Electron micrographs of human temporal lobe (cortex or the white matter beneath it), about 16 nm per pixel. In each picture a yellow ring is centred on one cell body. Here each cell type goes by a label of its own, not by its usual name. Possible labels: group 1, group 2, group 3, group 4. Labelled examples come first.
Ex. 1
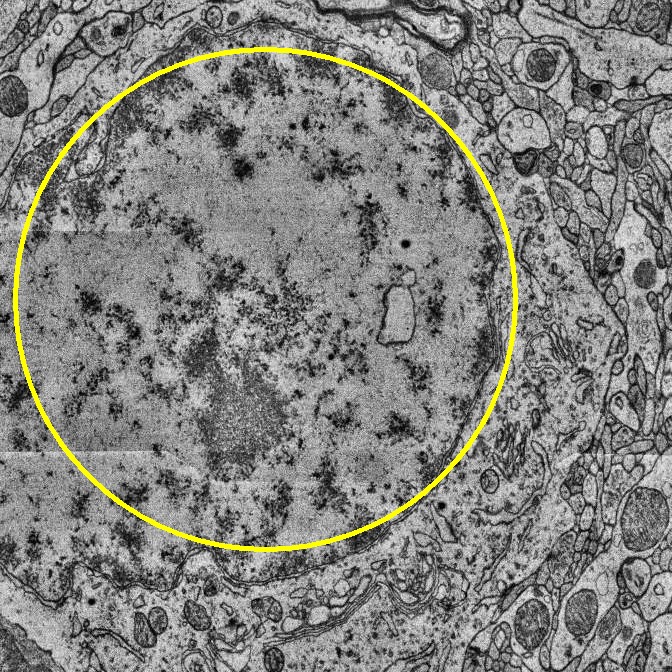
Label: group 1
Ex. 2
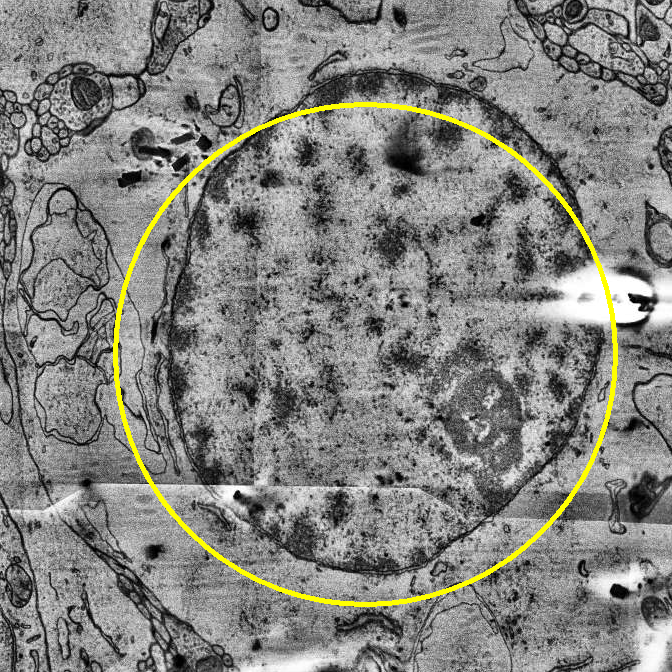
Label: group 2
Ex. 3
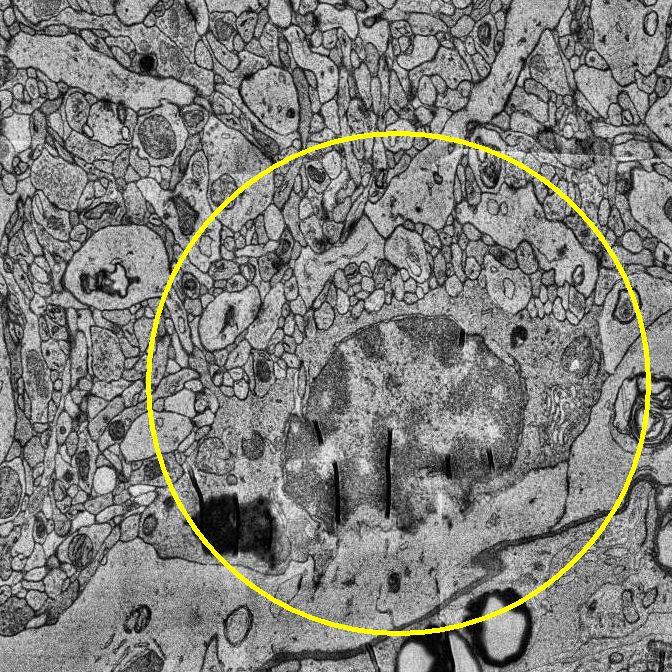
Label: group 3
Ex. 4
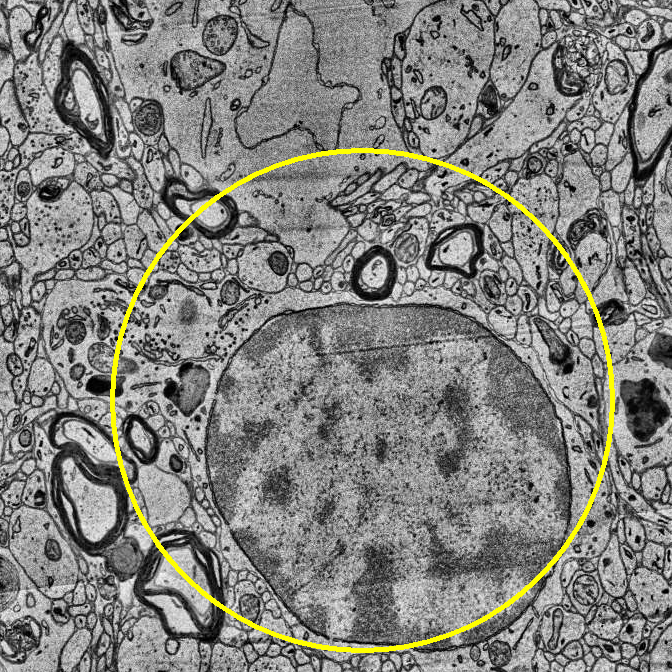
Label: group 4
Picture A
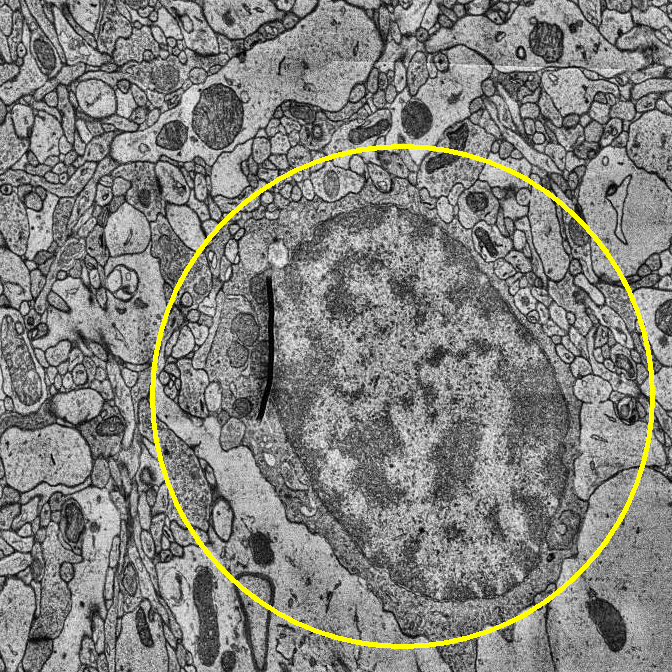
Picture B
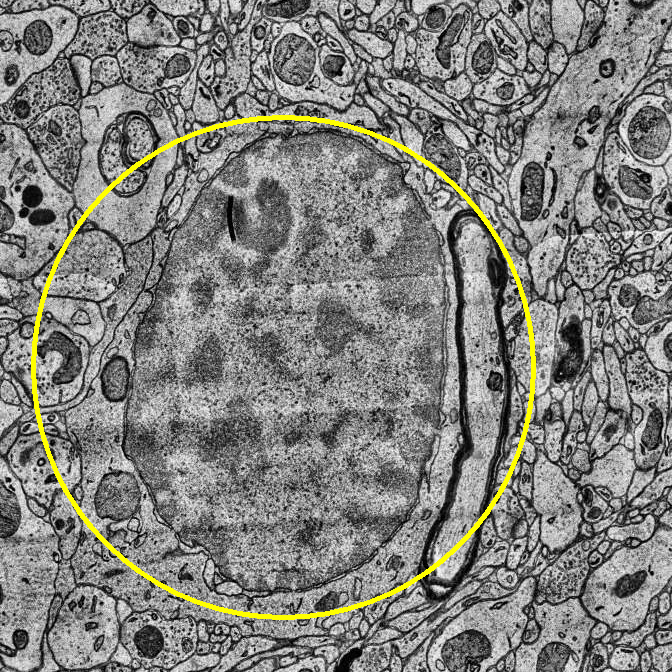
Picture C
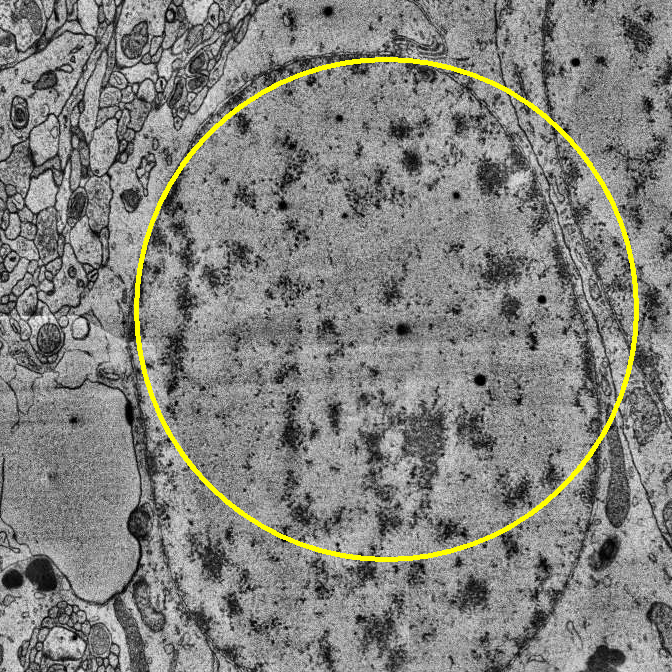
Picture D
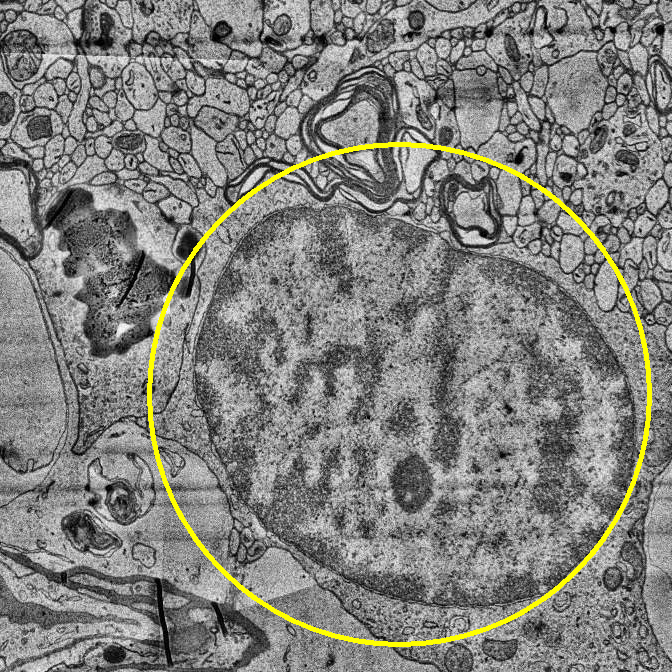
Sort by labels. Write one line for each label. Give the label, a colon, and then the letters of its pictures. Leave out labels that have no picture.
group 2: C
group 3: A, B, D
